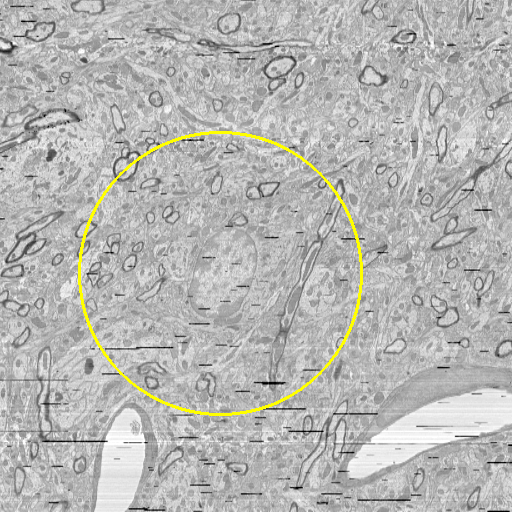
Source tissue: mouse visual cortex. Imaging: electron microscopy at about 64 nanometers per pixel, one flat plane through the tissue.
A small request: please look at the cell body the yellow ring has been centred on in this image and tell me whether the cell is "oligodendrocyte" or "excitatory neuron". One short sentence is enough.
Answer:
The cell marked by the ring is an oligodendrocyte.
